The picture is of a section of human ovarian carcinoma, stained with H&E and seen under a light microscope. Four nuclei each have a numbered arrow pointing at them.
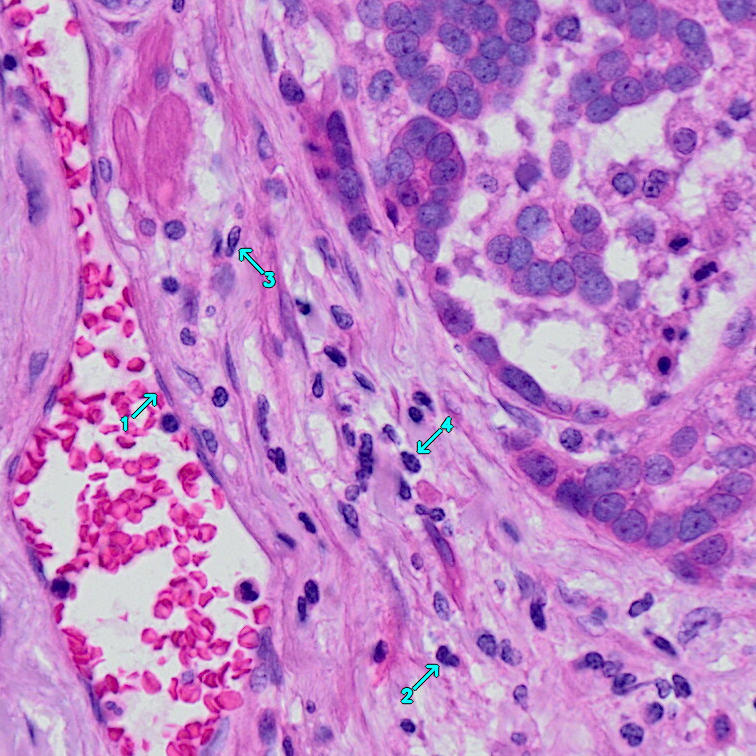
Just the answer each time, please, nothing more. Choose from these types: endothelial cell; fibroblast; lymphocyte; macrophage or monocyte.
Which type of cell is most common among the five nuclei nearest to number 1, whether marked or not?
lymphocyte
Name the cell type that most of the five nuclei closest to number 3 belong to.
macrophage or monocyte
